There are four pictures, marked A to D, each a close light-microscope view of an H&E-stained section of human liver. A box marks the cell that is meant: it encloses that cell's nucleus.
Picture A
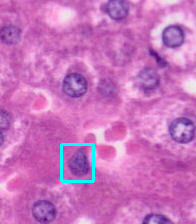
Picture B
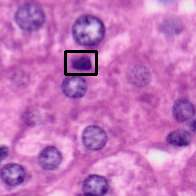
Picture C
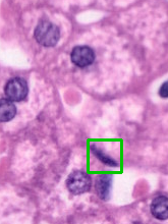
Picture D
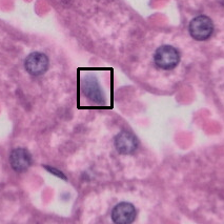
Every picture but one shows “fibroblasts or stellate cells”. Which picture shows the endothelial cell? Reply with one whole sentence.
Picture D shows the endothelial cell.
